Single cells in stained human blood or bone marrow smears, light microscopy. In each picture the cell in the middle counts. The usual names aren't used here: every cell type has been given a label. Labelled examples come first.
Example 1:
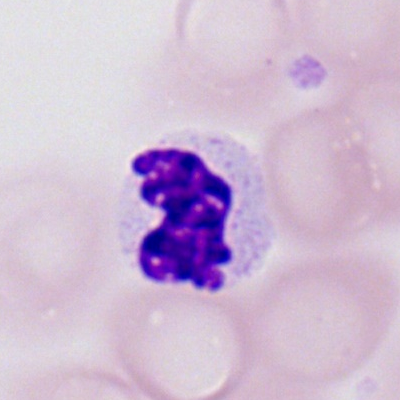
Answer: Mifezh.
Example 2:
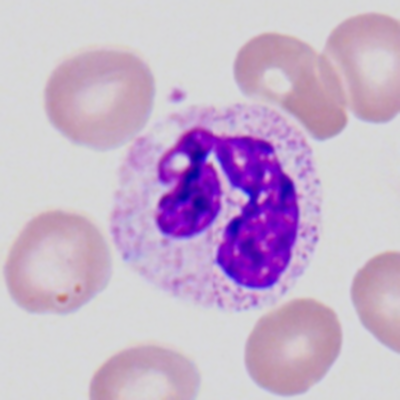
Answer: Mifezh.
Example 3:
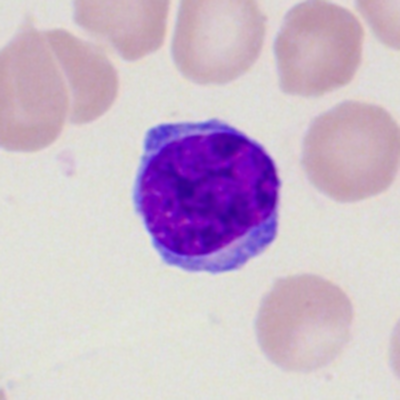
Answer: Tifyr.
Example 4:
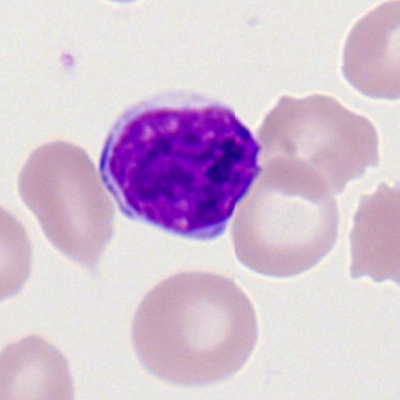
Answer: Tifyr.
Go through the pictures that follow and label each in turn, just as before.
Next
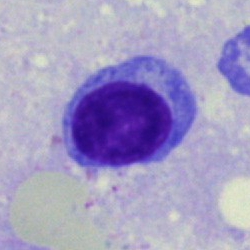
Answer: Tifyr.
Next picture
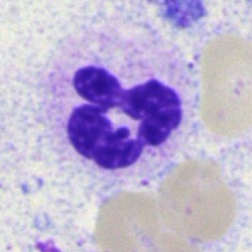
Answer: Mifezh.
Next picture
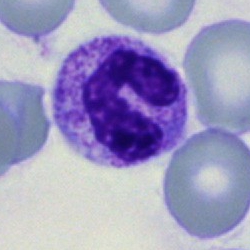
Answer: Mifezh.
